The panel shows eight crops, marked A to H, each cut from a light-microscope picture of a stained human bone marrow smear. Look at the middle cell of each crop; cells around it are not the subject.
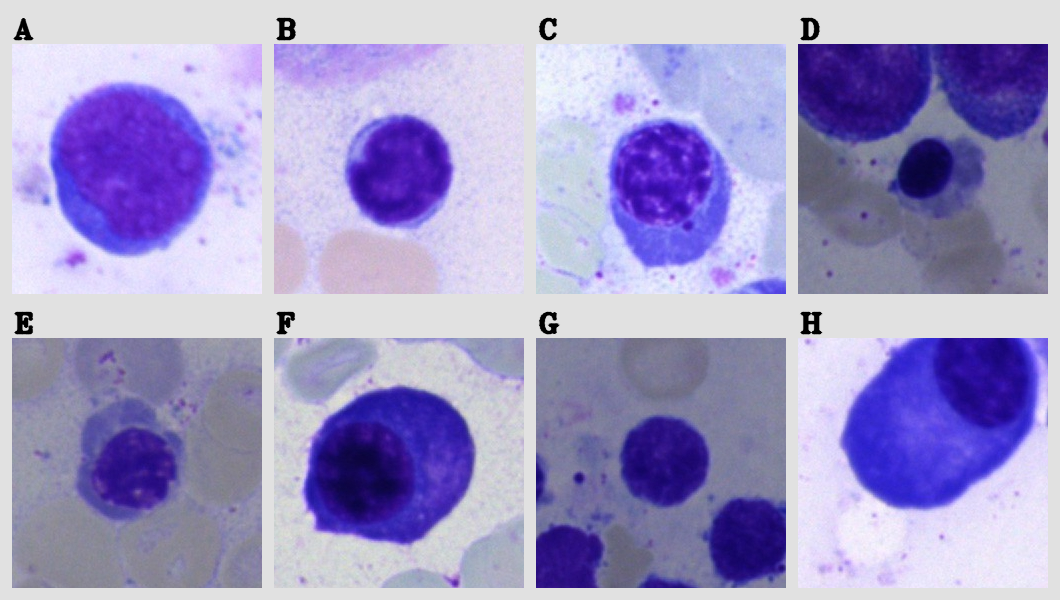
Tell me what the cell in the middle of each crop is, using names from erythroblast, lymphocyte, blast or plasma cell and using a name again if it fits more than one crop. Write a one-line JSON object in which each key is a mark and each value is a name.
{"A": "blast", "B": "lymphocyte", "C": "erythroblast", "D": "erythroblast", "E": "erythroblast", "F": "plasma cell", "G": "lymphocyte", "H": "plasma cell"}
